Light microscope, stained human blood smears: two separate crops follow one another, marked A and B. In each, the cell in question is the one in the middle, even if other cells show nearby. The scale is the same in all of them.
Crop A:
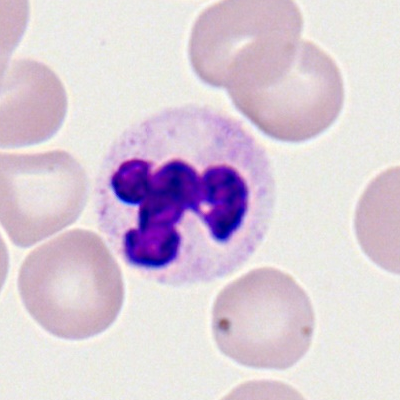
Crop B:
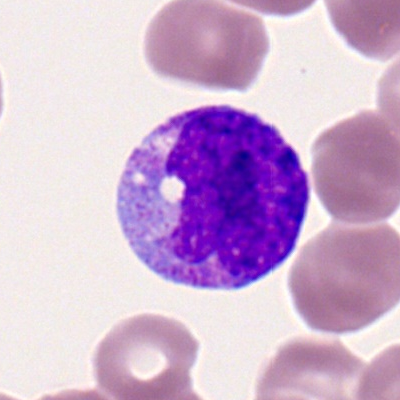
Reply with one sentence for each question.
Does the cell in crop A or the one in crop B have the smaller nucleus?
Smaller is the nucleus in crop A, and the other is about 2 times as large in area.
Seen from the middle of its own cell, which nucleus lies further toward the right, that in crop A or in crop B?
Seen within its cell, the nucleus in crop B lies further toward the right.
